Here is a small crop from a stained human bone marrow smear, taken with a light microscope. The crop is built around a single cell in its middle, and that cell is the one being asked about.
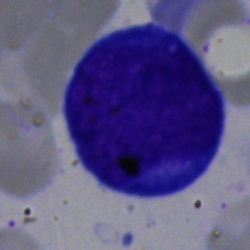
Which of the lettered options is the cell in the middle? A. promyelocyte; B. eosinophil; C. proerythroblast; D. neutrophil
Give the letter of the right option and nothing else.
C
